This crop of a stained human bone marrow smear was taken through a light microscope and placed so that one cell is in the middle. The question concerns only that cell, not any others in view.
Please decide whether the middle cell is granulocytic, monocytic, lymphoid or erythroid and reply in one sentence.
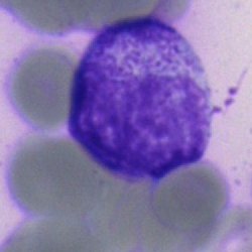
The cell at the center belongs, by lineage, to the granulocytic line.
